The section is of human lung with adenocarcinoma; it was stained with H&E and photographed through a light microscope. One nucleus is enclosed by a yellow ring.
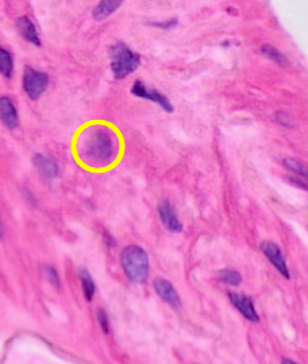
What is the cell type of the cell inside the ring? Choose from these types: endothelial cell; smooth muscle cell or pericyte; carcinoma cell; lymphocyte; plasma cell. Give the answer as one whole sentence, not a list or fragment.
The category to which the cell inside the ring belongs is that of a smooth muscle cell or pericyte.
